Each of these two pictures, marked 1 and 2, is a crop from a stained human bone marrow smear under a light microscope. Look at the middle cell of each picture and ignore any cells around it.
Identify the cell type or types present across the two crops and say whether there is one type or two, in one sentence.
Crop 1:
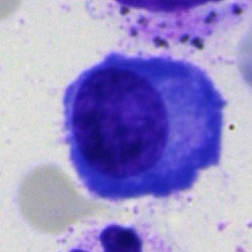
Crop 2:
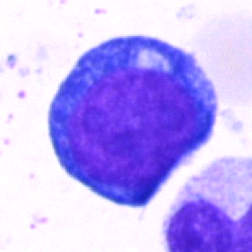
No, a plasma cell is what crop 1 shows, and a proerythroblast is what crop 2 shows.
